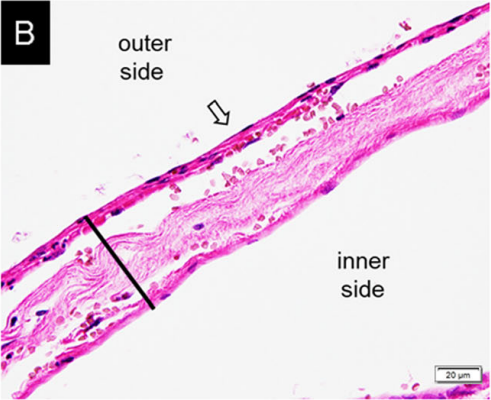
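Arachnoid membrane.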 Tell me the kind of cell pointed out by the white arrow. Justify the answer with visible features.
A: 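Barrier cell layer. A thin band of flattened cells with elongated nuclei lines the outer surface of the thin membrane.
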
